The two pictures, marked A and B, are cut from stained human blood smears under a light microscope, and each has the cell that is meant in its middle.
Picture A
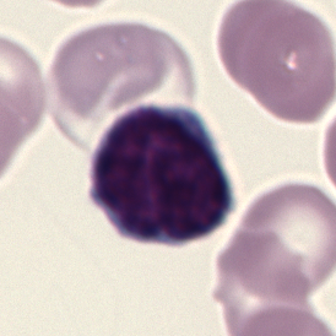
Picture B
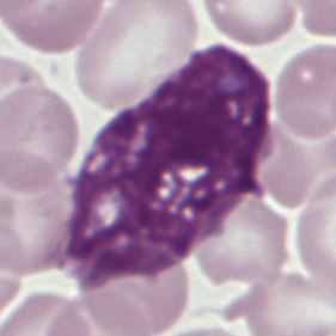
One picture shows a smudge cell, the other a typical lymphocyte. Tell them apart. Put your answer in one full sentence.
The cell in picture A is a typical lymphocyte, and the one in picture B is a smudge cell.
